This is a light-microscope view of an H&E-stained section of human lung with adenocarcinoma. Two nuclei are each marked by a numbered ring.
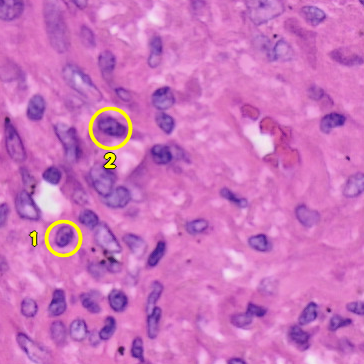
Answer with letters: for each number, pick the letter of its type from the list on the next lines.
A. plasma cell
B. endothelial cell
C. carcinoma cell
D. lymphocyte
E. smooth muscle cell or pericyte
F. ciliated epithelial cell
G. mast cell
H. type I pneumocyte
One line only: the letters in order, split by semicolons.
D; A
